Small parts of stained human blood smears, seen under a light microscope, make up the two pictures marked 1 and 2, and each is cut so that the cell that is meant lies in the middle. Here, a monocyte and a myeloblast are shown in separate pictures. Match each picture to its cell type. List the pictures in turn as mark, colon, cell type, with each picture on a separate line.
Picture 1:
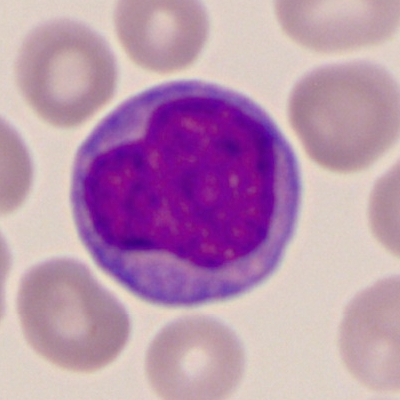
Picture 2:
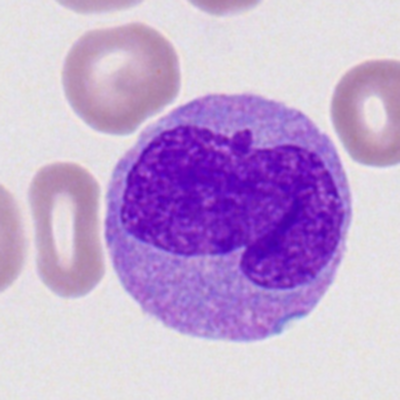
1: myeloblast
2: monocyte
